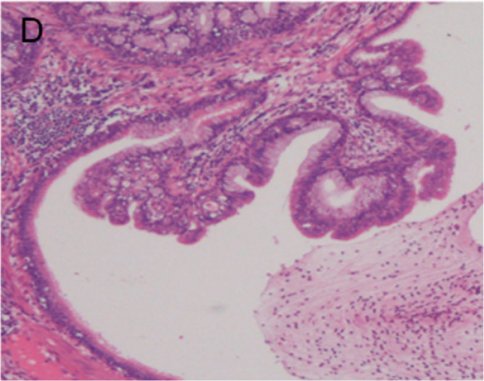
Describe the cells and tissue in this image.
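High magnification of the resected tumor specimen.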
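Papillary projections with fibrovascular cores are covered by columnar cells with pale, mucin-filled cytoplasm resembling goblet cells. A lumen lies beside them, lined by a thin flattened-to-columnar epithelium, with pale mucus and scattered cells in the lower right.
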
